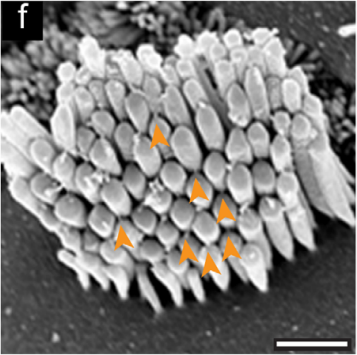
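This scanning electron micrograph shows a single hair bundle on the apical surface of a hair cell at high magnification. The stereocilia are cylindrical with rounded tips and stand in regular rows that rise in height toward one side of the bundle, forming a staircase. Short microvilli cover the surrounding surface at the edges of the bundle.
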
